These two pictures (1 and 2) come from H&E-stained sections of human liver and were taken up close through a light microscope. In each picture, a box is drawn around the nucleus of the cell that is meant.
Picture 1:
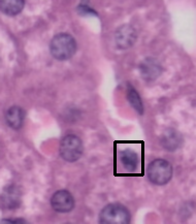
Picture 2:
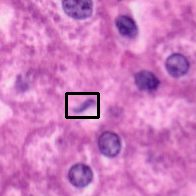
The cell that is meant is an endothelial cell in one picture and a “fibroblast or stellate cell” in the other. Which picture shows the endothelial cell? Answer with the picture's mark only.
2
